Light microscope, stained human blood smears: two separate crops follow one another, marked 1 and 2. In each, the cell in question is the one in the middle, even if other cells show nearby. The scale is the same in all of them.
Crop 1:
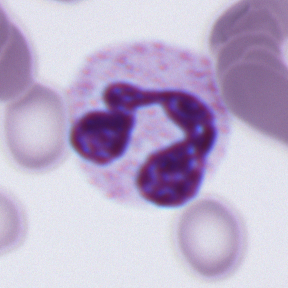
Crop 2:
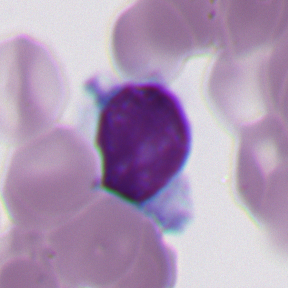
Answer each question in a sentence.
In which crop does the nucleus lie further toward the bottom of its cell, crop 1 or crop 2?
It is the nucleus in crop 1 that lies further toward the bottom of its cell.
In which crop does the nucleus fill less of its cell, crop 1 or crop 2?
Of the two, the nucleus in crop 1 leaves more room for cytoplasm.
